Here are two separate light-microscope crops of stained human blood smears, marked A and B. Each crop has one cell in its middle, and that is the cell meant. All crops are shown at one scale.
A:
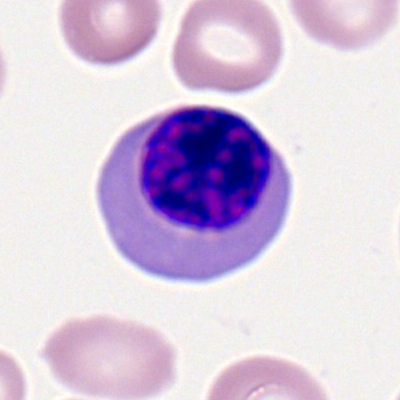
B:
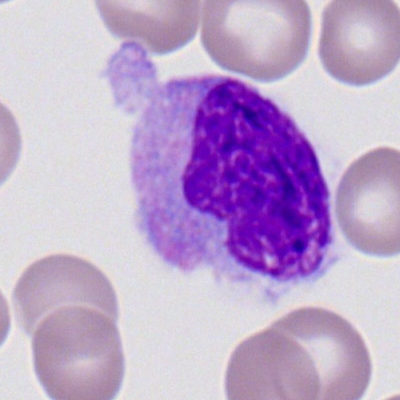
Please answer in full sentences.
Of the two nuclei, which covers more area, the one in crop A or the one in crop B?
Larger is the nucleus in crop B, at roughly 1.5 times the area of the other.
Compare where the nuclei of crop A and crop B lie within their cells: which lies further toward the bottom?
It is the nucleus in crop B that lies further toward the bottom of its cell.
